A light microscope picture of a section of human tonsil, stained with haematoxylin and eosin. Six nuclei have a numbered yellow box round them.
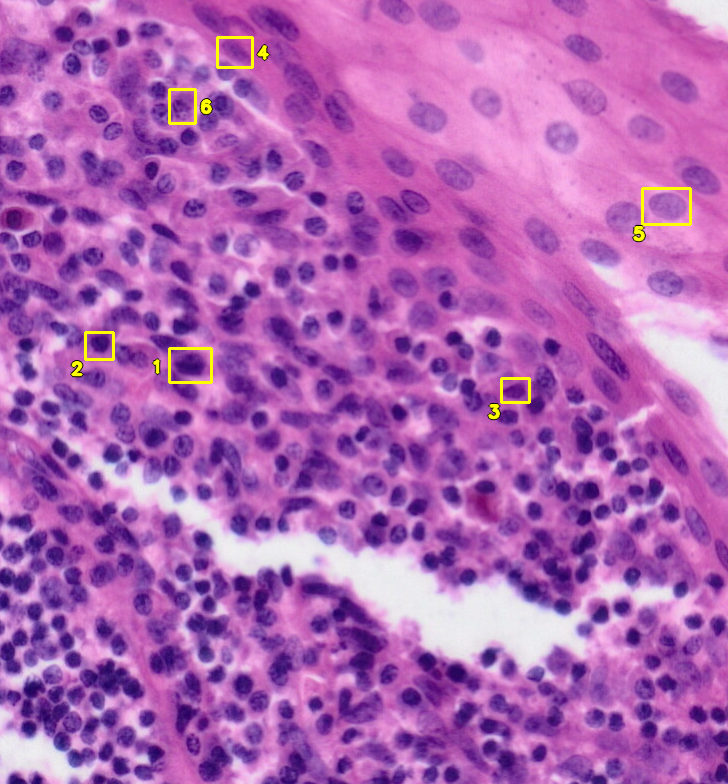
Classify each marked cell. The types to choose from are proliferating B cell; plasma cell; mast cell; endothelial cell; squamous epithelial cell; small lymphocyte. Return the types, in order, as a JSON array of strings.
["squamous epithelial cell", "plasma cell", "squamous epithelial cell", "squamous epithelial cell", "squamous epithelial cell", "plasma cell"]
